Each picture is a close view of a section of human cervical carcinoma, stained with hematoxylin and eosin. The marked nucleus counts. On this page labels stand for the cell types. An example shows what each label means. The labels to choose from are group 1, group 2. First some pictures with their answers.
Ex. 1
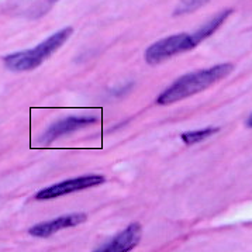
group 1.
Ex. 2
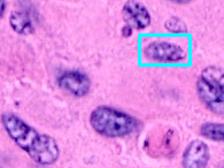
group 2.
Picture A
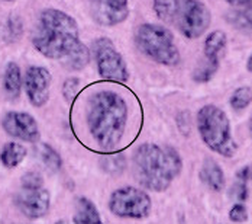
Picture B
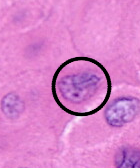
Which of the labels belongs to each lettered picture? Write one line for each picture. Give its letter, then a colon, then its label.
A: group 2.
B: group 2.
